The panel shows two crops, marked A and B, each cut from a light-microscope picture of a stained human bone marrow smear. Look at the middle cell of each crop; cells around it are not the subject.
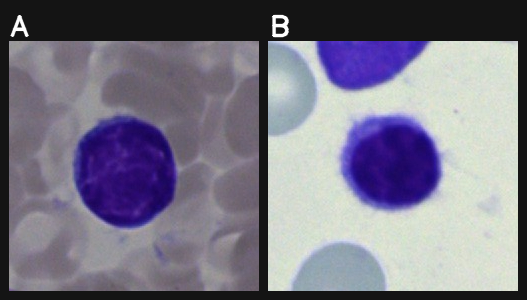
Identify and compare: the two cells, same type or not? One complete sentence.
Yes, that is right, both crops show lymphocytes.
